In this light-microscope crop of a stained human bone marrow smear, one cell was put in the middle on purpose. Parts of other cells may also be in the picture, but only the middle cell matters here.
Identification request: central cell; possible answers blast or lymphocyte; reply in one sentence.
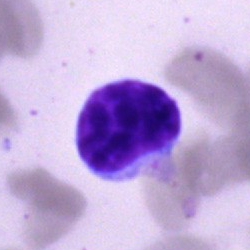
This particular crop is centered on a lymphocyte.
